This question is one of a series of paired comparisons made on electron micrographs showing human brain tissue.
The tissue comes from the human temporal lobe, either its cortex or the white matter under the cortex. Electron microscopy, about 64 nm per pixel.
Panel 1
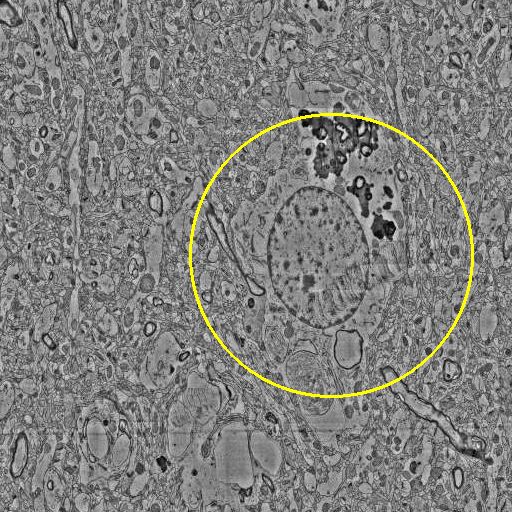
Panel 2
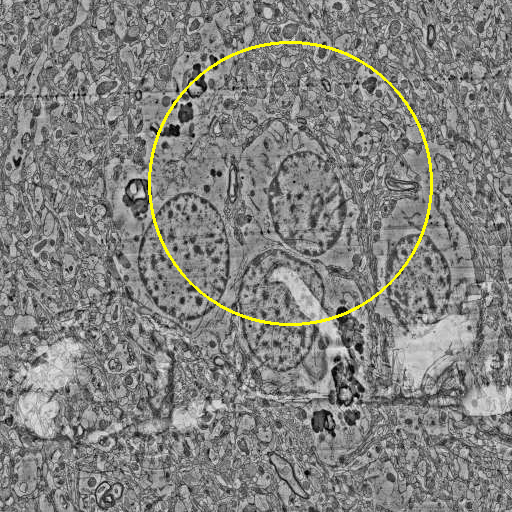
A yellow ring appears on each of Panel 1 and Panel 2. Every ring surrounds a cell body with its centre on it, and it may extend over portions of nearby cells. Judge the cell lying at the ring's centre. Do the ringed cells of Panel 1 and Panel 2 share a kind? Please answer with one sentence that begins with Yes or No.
Yes, the ring-centre cell in Panel 1 and the one in Panel 2 are of one kind.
